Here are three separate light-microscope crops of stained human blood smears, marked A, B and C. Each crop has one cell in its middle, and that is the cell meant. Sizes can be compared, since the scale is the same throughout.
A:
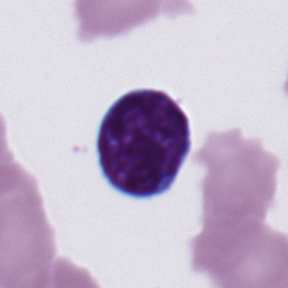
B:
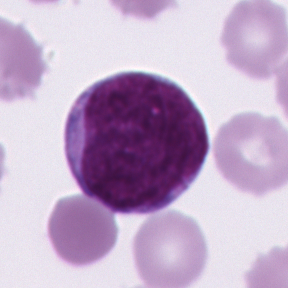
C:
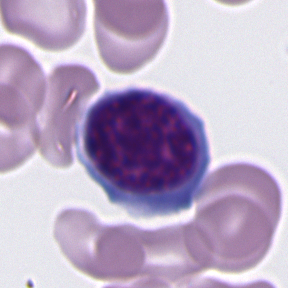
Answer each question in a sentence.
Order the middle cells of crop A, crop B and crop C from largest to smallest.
Largest first: B, C, A.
